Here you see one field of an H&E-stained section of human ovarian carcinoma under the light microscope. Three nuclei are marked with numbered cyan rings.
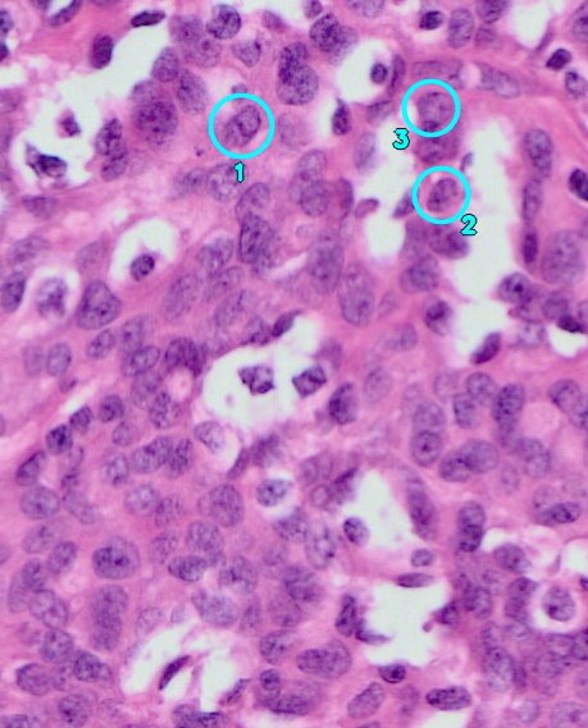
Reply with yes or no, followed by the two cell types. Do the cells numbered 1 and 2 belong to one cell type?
No, cell 1 is a carcinoma cell, while a macrophage or monocyte is what cell 2 is.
